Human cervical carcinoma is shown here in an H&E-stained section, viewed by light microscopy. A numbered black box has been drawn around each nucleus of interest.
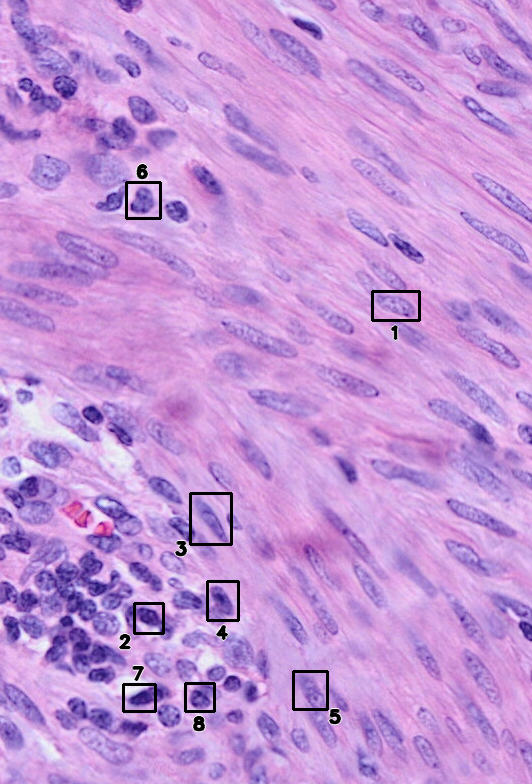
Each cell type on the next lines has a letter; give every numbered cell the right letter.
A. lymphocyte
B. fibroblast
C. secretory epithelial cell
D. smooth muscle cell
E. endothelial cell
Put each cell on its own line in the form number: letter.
1: D
2: A
3: B
4: A
5: D
6: A
7: A
8: A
